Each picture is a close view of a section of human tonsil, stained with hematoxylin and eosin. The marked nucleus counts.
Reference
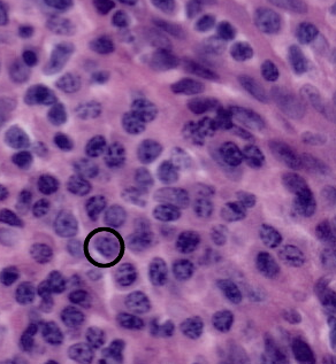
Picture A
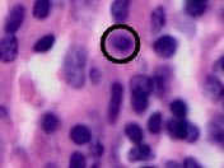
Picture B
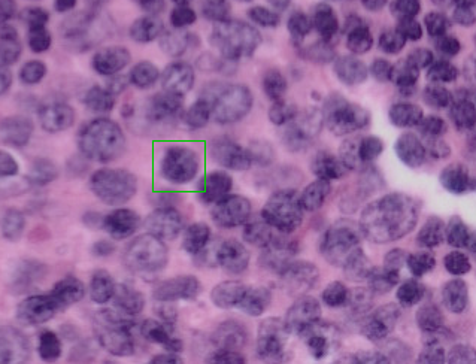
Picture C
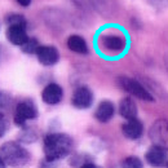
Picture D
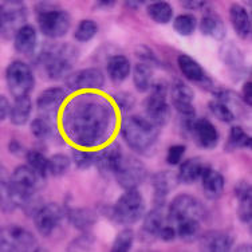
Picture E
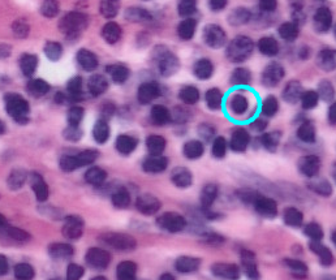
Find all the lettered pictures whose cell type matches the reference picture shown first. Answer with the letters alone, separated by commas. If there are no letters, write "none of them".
none of them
